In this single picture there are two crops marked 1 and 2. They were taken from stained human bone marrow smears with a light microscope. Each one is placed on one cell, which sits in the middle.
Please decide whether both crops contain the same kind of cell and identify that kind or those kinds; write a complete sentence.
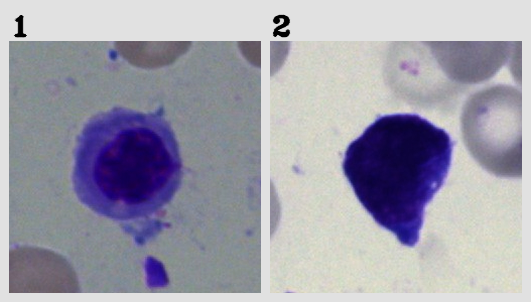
No, crop 1 and crop 2 show an erythroblast and a blast respectively.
